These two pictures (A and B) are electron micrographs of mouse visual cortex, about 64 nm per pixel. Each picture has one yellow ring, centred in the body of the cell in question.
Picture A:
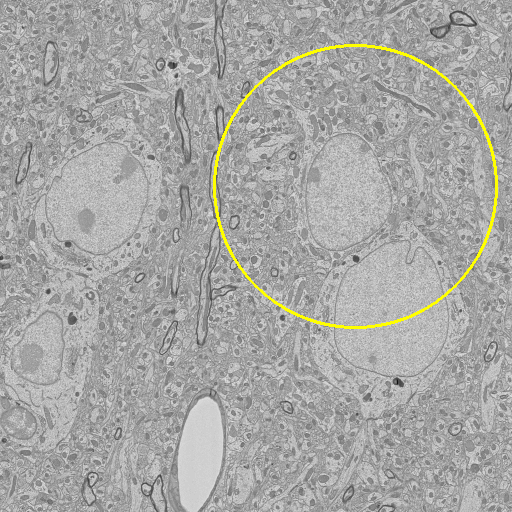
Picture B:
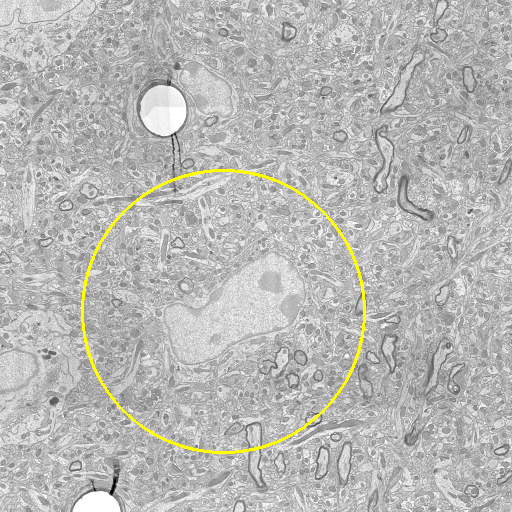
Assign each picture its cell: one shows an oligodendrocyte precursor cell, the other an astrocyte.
Picture A shows an astrocyte and picture B shows an oligodendrocyte precursor cell.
